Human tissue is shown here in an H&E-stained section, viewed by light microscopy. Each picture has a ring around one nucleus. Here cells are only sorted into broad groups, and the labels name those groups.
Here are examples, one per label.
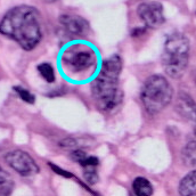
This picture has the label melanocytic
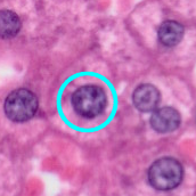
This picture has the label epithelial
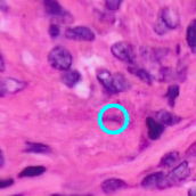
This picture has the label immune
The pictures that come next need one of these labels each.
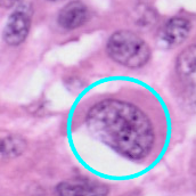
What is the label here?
melanocytic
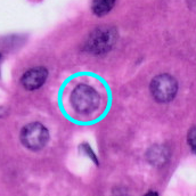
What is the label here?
epithelial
